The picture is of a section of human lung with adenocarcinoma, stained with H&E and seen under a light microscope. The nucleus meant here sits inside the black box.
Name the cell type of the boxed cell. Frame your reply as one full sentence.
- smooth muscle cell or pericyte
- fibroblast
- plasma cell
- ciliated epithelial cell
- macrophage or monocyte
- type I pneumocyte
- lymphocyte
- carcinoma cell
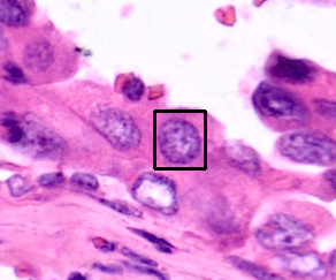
As classified here, the boxed cell is a carcinoma cell.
